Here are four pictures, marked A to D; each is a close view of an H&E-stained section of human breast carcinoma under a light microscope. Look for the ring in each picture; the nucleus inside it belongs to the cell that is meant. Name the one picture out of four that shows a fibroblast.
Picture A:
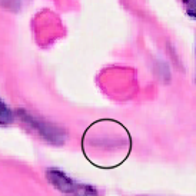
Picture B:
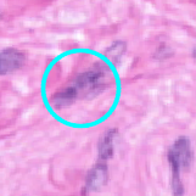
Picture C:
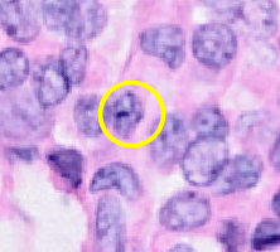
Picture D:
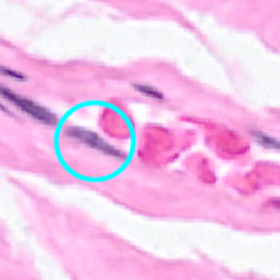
B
